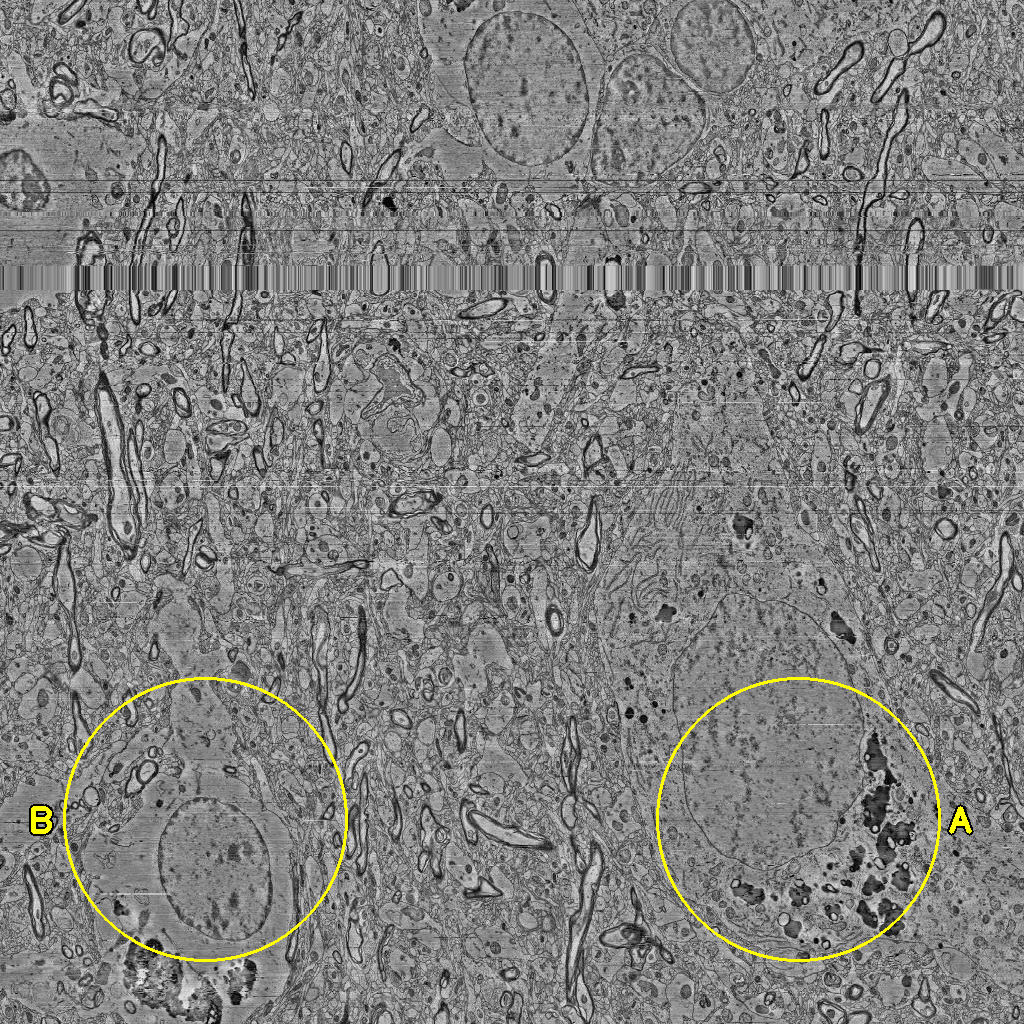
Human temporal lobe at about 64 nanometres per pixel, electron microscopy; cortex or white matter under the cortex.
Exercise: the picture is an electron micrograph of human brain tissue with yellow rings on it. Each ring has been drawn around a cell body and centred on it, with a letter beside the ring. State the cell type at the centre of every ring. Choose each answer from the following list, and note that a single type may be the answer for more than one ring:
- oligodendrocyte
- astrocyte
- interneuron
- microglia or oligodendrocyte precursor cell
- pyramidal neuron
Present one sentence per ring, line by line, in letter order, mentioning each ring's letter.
Ring A shows a pyramidal neuron at its centre.
Ring B shows an astrocyte at its centre.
